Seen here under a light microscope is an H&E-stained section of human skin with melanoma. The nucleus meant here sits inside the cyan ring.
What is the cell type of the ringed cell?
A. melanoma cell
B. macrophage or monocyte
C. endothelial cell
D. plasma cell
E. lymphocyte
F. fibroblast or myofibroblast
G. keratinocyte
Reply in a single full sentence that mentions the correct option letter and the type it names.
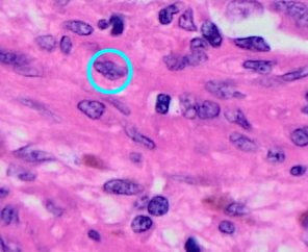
The correct option here, B, identifies the ringed cell as a macrophage or monocyte.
